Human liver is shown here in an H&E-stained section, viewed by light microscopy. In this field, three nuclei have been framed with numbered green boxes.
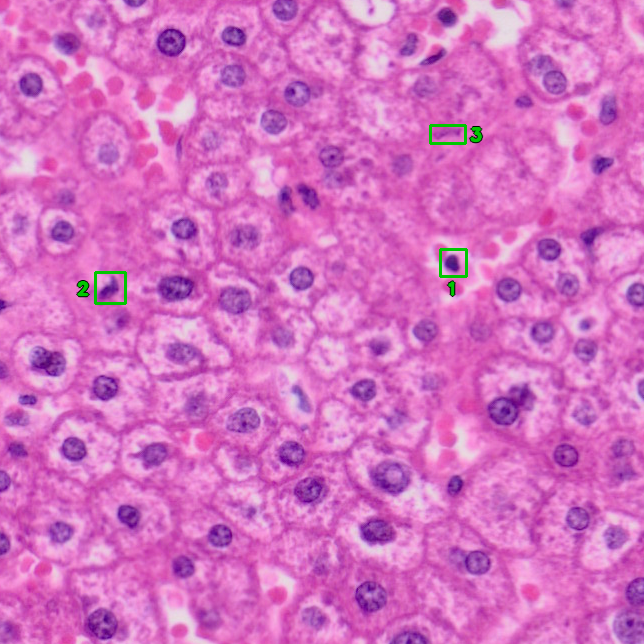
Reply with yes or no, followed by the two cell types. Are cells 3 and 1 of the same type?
No, cell 3 is an endothelial cell, and in contrast cell 1 is a lymphocyte.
